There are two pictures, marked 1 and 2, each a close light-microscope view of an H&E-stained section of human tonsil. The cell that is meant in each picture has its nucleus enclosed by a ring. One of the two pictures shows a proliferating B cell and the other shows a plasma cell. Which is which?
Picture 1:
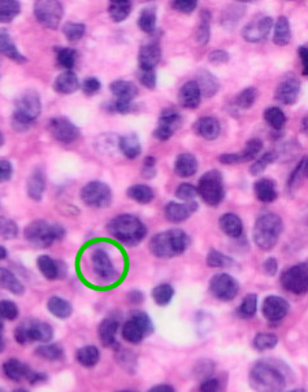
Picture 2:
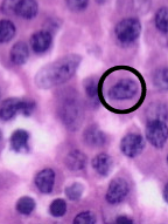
1: proliferating B cell
2: plasma cell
